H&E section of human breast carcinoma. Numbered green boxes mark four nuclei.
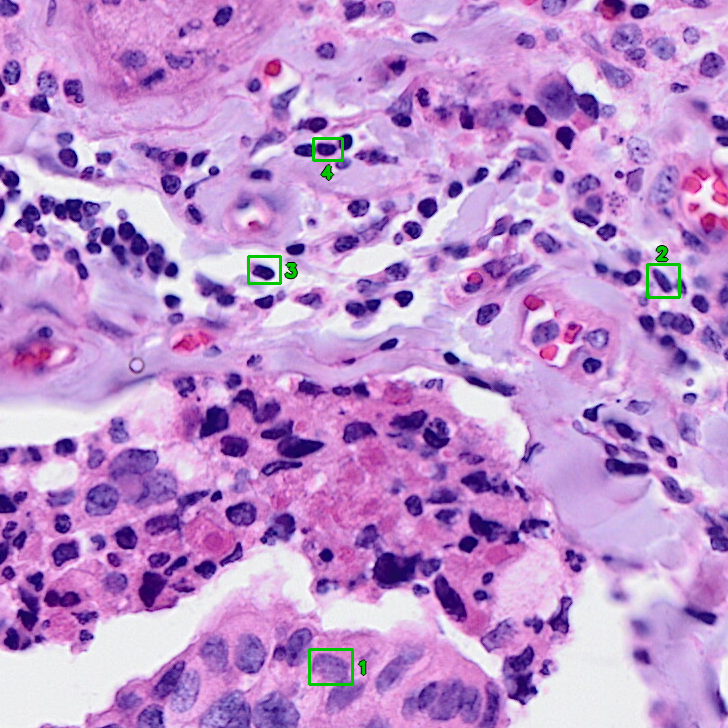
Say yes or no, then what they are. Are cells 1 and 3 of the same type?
No, cell 1 is a carcinoma cell and cell 3 is a lymphocyte.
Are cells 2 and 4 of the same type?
Yes, both are lymphocytes.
